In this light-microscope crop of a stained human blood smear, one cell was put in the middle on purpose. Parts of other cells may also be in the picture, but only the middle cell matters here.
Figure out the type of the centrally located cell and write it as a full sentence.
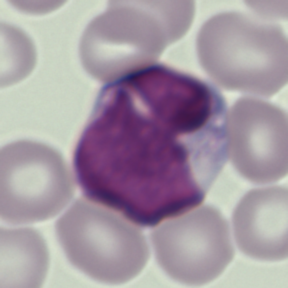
Classified as a large granular lymphocyte is the cell in the middle of this crop.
